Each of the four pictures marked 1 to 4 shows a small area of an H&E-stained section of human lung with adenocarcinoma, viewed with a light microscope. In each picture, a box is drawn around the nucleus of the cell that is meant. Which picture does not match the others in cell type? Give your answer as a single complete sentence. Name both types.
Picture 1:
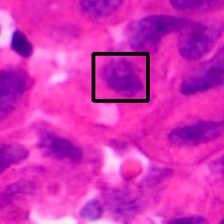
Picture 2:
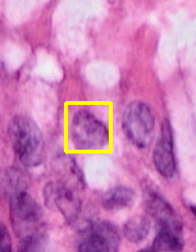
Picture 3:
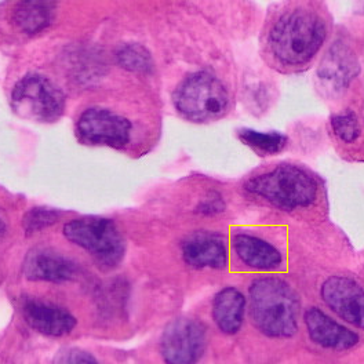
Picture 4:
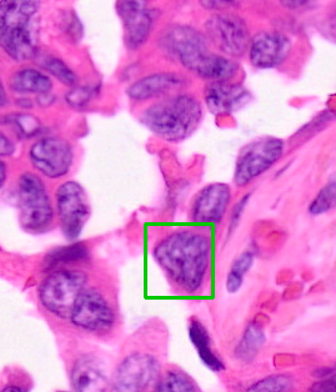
Unlike the rest, which show carcinoma cells, picture 2 shows a ciliated epithelial cell.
